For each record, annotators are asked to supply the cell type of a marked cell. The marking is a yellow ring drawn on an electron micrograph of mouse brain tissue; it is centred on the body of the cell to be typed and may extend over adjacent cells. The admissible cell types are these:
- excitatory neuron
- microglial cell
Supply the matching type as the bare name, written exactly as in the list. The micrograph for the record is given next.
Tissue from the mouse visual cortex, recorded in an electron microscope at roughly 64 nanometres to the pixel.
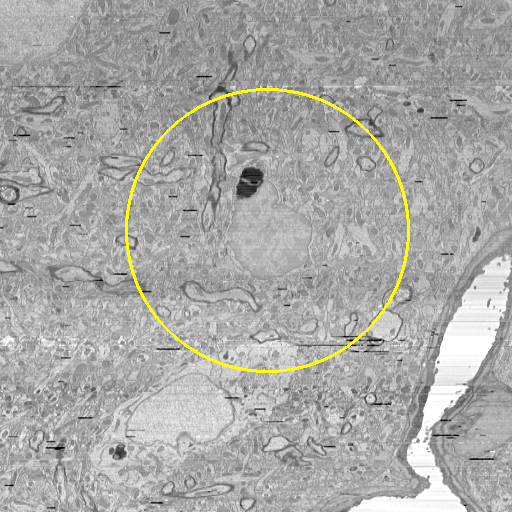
microglial cell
